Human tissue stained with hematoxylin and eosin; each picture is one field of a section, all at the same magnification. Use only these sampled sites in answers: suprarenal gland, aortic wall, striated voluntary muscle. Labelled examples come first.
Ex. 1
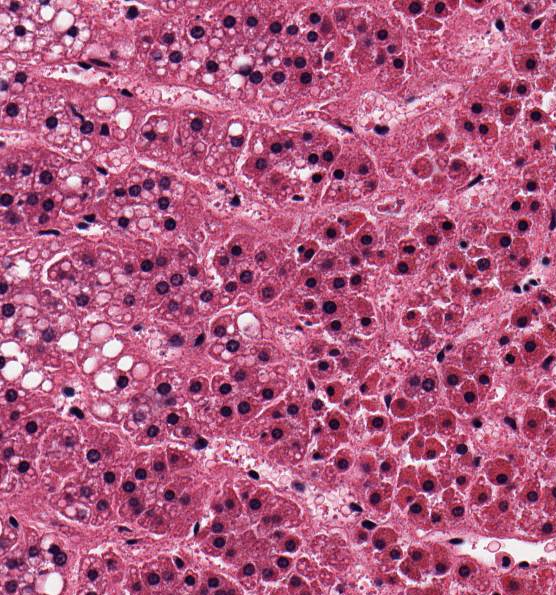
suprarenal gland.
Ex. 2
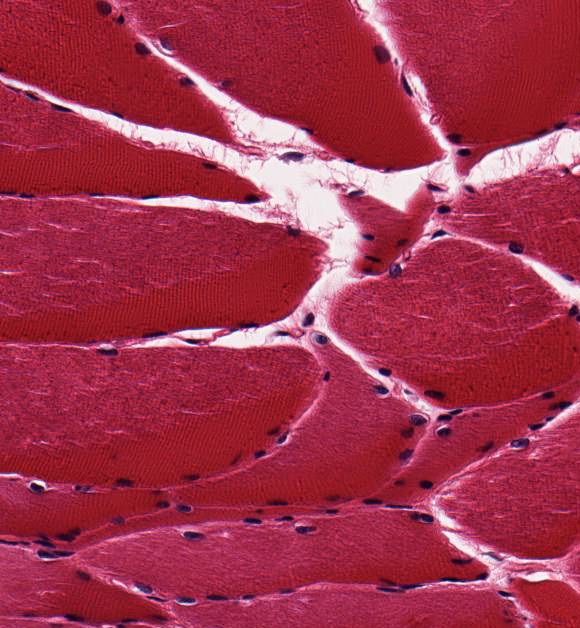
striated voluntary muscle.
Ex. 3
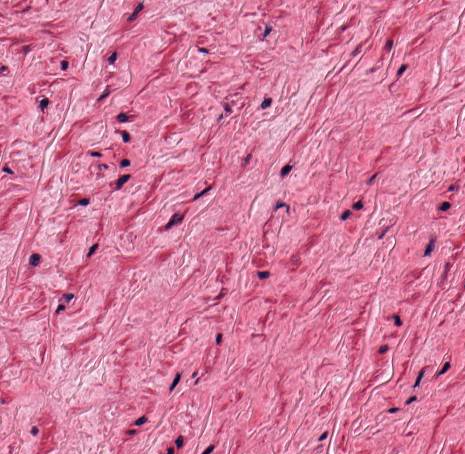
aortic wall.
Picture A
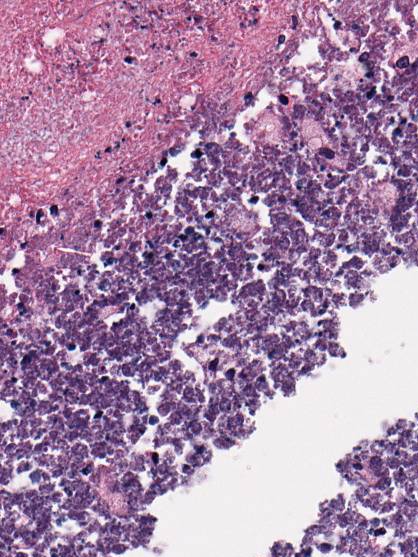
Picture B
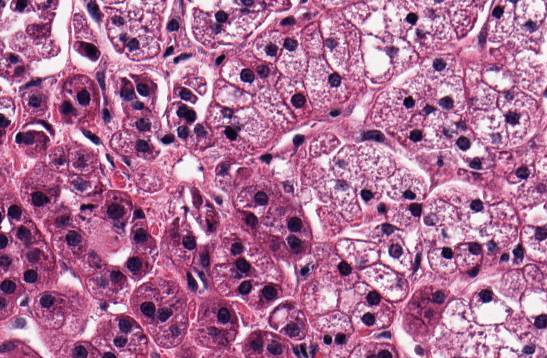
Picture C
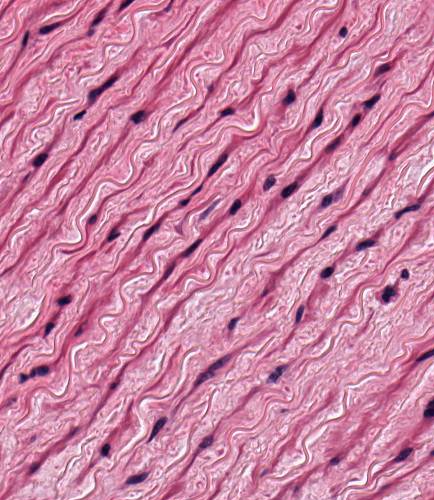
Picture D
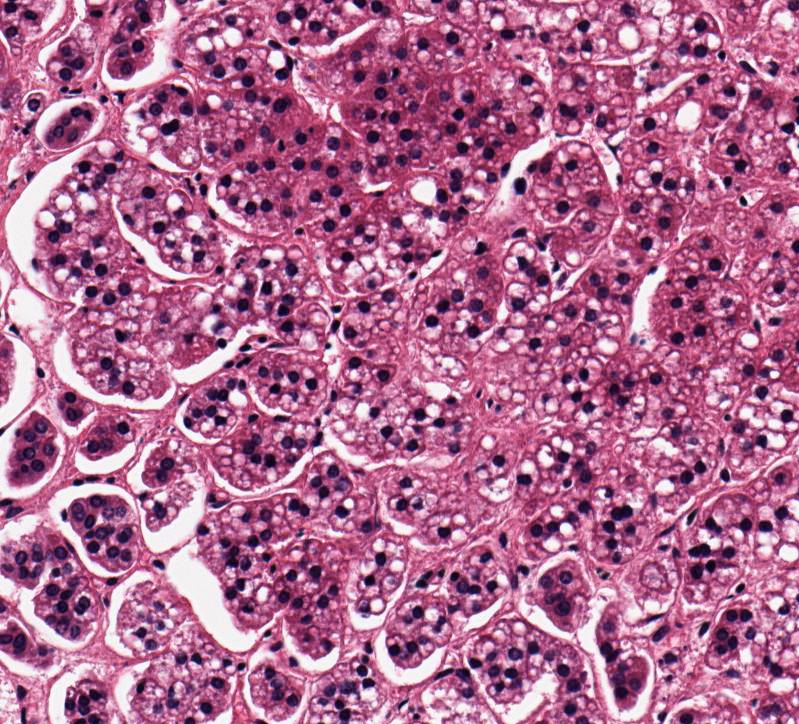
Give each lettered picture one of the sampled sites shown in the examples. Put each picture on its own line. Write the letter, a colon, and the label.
A: aortic wall.
B: suprarenal gland.
C: aortic wall.
D: suprarenal gland.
